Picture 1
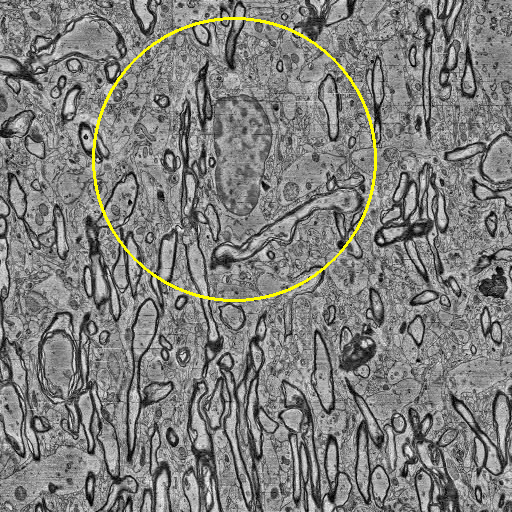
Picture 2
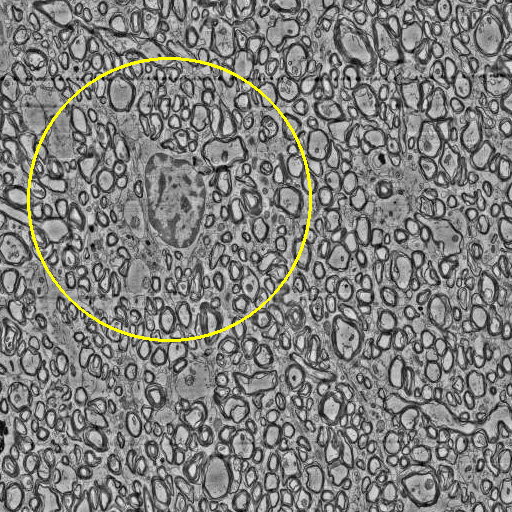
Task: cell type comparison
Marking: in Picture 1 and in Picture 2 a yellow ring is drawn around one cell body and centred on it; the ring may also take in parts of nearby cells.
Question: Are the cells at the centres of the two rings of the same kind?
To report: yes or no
yes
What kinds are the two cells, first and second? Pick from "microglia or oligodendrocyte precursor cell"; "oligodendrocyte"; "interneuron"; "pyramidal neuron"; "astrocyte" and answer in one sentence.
The cell in the first picture is a microglial cell or oligodendrocyte precursor cell, and so is the one in the second.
